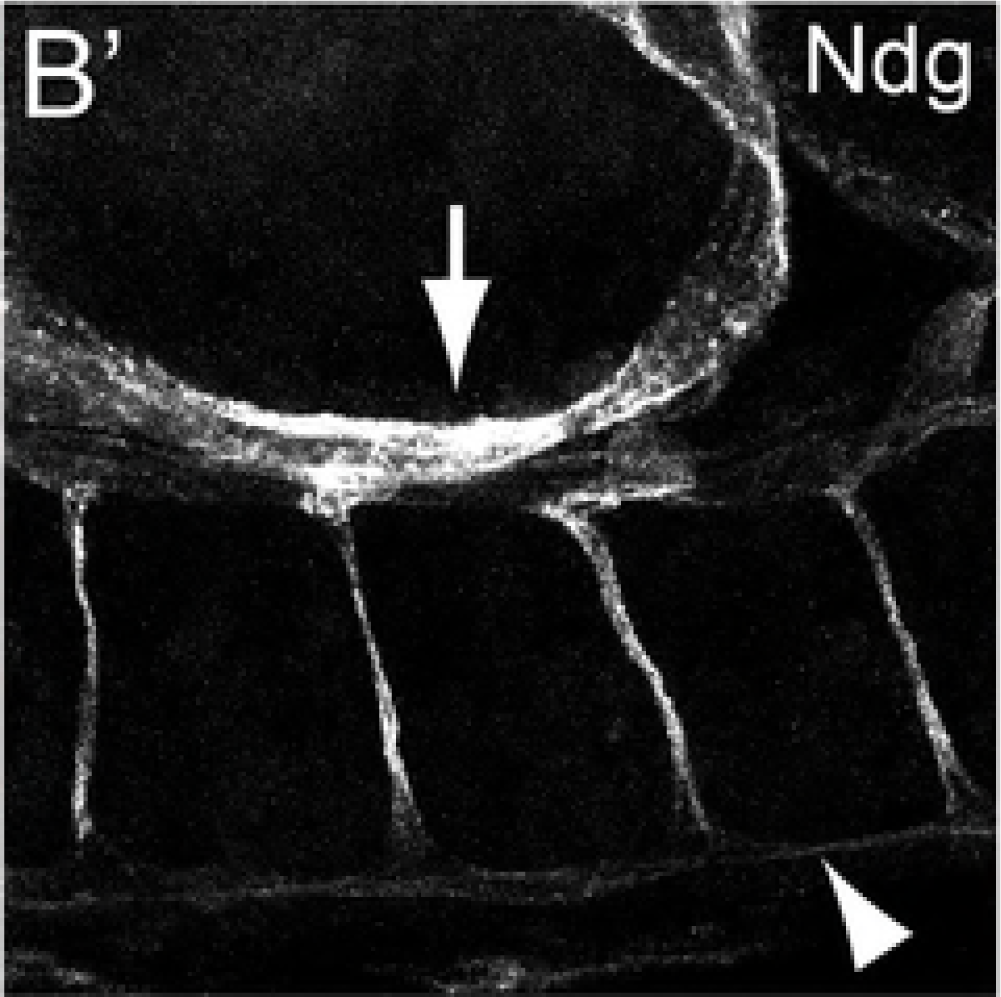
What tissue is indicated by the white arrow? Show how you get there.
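Gut. The arrow points at the lower wall of a large oval tube outlined by a bright layer. The tube lies above a row of evenly spaced thin vertical strands.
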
